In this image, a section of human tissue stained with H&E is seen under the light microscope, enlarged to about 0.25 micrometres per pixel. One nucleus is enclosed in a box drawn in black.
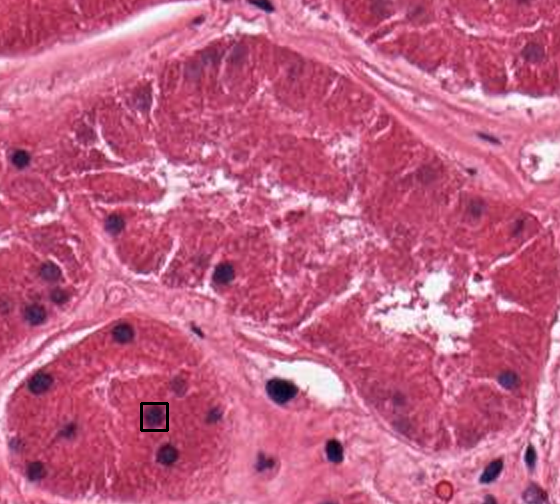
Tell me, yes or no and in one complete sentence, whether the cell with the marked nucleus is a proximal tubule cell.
Yes, the marked nucleus, as shown, belongs to a proximal tubule cell.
